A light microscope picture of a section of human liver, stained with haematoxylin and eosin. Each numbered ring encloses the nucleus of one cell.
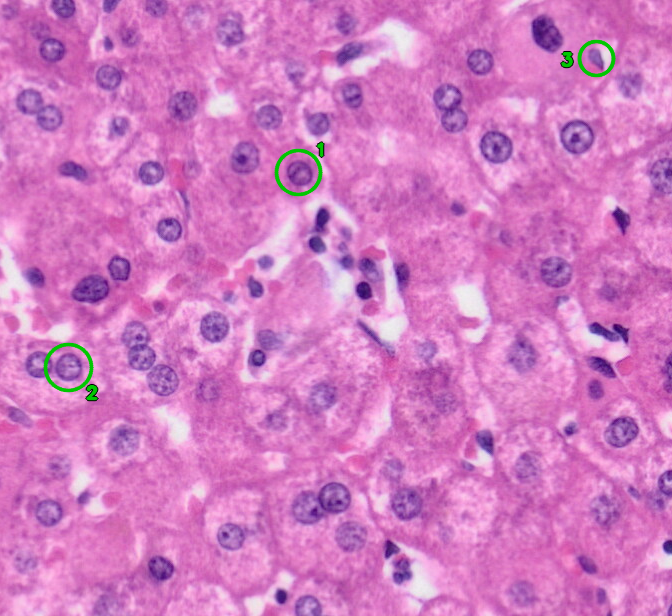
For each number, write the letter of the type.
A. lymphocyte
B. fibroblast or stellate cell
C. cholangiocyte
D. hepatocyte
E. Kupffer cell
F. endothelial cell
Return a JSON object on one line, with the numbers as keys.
{"1": "D", "2": "D", "3": "F"}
